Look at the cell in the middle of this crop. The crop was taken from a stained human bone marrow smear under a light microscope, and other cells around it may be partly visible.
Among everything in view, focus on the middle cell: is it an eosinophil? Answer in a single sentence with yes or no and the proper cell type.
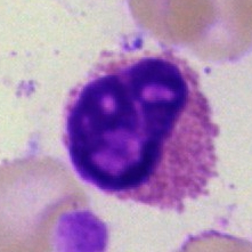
Yes, the middle cell here is an eosinophil.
